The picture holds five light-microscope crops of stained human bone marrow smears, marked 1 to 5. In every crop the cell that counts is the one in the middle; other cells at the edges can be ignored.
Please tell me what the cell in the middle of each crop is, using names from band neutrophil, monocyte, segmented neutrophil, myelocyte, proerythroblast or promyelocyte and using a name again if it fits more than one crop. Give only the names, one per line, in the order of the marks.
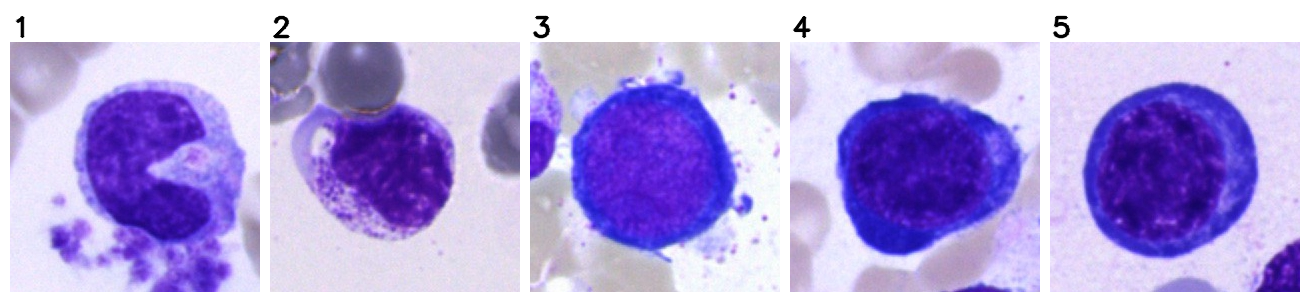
monocyte
myelocyte
proerythroblast
proerythroblast
proerythroblast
